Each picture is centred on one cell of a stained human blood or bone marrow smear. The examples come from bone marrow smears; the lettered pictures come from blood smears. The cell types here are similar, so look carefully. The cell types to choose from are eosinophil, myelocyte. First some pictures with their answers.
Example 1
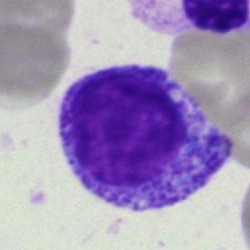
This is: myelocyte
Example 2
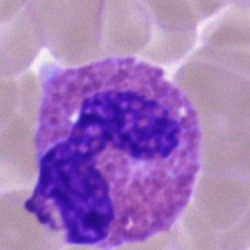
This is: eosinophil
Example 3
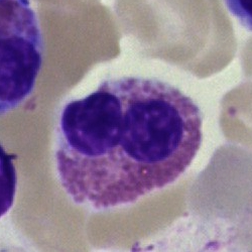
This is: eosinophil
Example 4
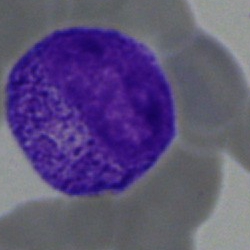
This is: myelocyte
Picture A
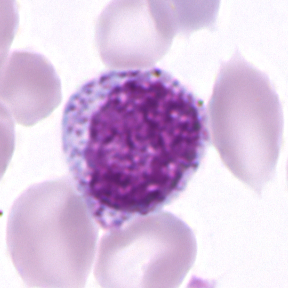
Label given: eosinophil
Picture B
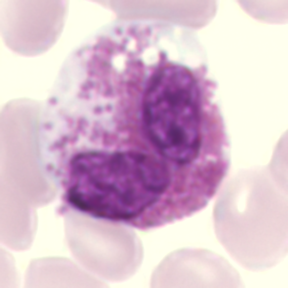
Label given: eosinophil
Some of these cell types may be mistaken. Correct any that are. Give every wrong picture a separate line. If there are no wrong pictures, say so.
A: change eosinophil to myelocyte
